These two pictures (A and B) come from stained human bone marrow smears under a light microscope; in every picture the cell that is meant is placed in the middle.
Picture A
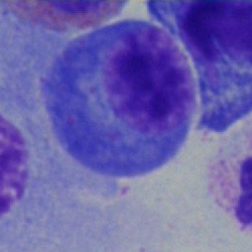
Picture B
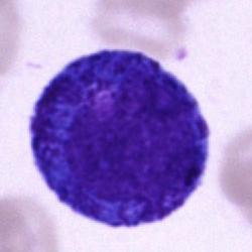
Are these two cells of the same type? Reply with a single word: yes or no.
no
